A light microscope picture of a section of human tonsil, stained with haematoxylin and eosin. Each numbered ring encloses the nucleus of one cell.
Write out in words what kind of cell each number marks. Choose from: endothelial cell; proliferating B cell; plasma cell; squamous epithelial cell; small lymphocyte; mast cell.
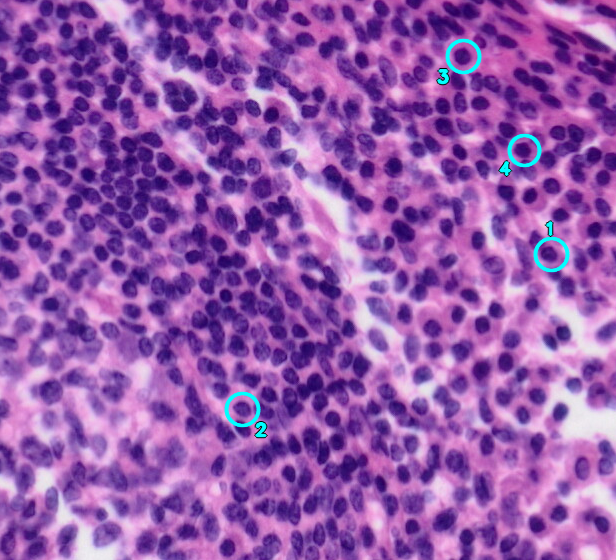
Cell 1 is a plasma cell, cell 2 is a small lymphocyte, cell 3 is a plasma cell and cell 4 is a plasma cell.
